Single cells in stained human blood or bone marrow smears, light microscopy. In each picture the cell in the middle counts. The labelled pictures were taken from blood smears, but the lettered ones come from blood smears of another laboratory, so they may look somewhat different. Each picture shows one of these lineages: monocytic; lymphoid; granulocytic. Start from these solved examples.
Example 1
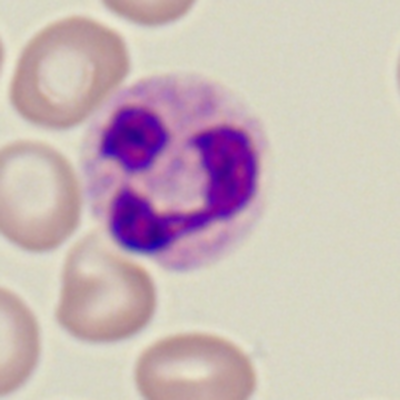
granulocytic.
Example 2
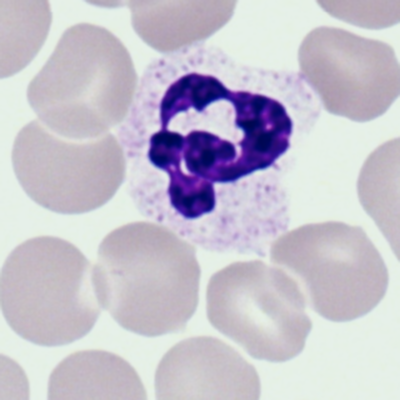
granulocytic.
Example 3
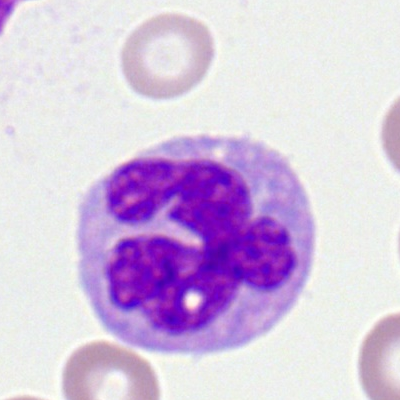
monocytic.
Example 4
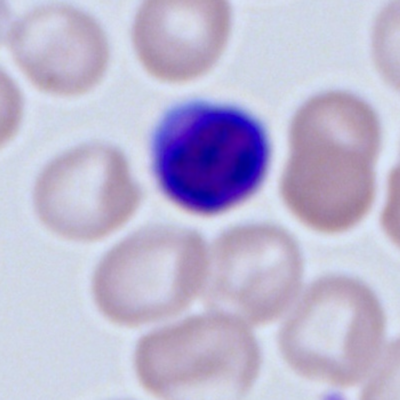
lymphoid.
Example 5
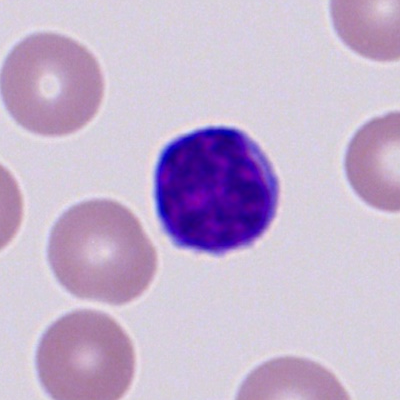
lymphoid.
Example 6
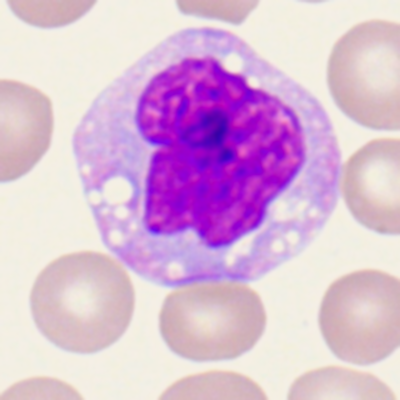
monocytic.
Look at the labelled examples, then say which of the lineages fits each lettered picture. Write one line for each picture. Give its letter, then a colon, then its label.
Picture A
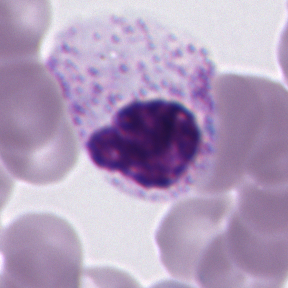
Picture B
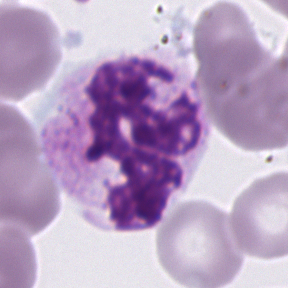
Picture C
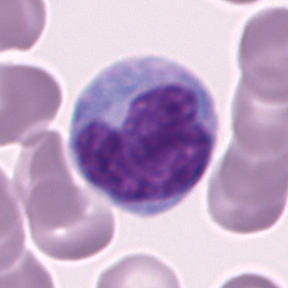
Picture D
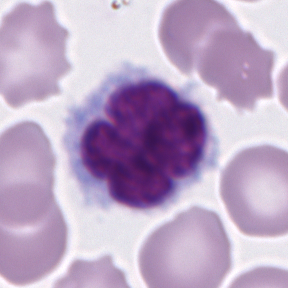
A: granulocytic.
B: granulocytic.
C: monocytic.
D: lymphoid.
